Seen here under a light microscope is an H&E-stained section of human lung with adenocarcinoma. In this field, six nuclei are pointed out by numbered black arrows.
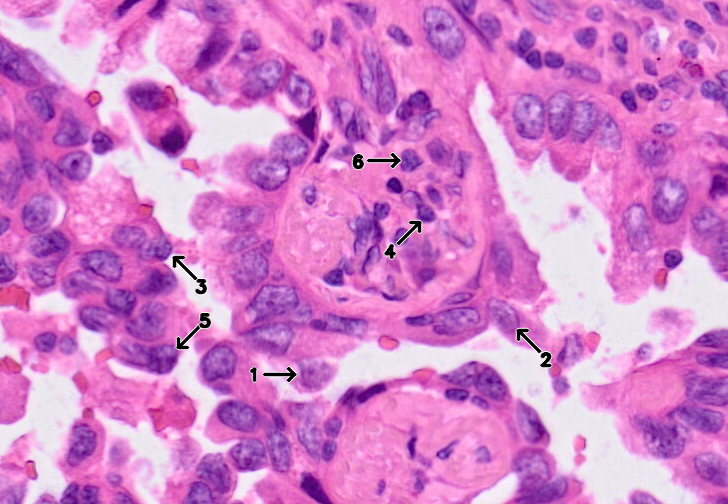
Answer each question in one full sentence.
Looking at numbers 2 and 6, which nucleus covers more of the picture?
The larger nucleus is 2, at roughly 2 times the area of 6.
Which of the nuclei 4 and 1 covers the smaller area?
It is nucleus 4; nucleus 1 has about 3 times its area.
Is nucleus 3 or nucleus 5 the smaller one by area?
Number 3 is smaller, since number 5 takes up about 1.5 times as much area.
